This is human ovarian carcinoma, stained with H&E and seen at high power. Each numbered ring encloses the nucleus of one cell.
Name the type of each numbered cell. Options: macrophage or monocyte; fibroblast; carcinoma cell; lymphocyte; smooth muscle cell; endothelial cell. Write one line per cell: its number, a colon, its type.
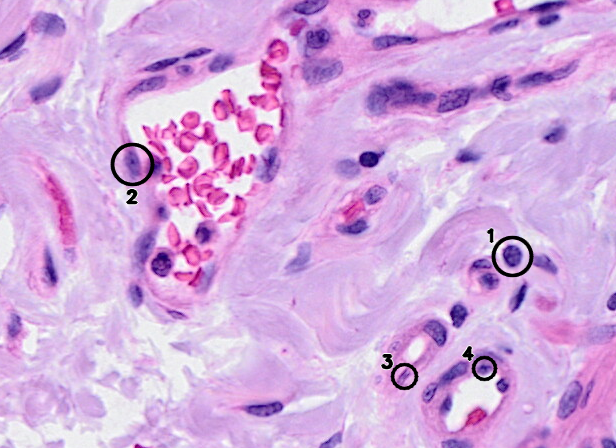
1: lymphocyte
2: endothelial cell
3: endothelial cell
4: endothelial cell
